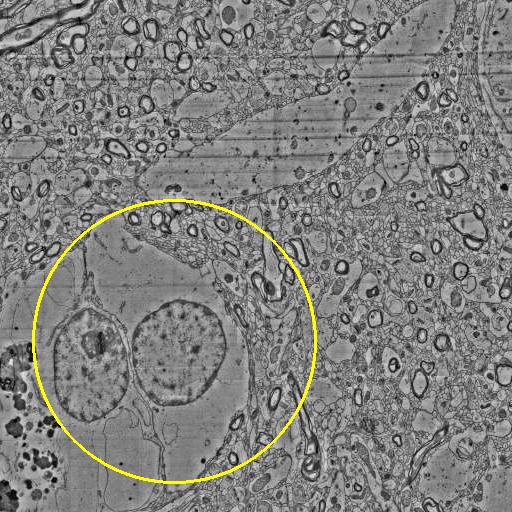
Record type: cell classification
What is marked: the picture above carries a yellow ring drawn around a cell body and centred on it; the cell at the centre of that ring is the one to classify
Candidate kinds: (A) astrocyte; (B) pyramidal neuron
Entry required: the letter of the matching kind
A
